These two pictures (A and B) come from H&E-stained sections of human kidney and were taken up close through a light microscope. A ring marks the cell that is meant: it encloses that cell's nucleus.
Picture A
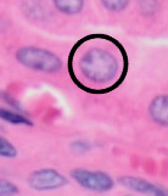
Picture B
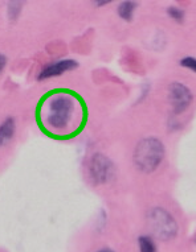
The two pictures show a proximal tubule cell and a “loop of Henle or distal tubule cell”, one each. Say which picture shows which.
A: proximal tubule cell
B: loop of Henle or distal tubule cell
